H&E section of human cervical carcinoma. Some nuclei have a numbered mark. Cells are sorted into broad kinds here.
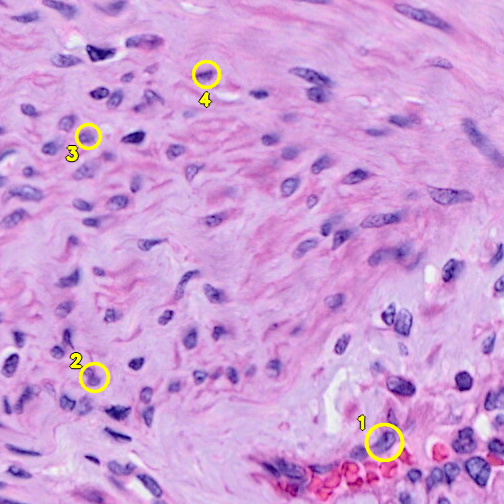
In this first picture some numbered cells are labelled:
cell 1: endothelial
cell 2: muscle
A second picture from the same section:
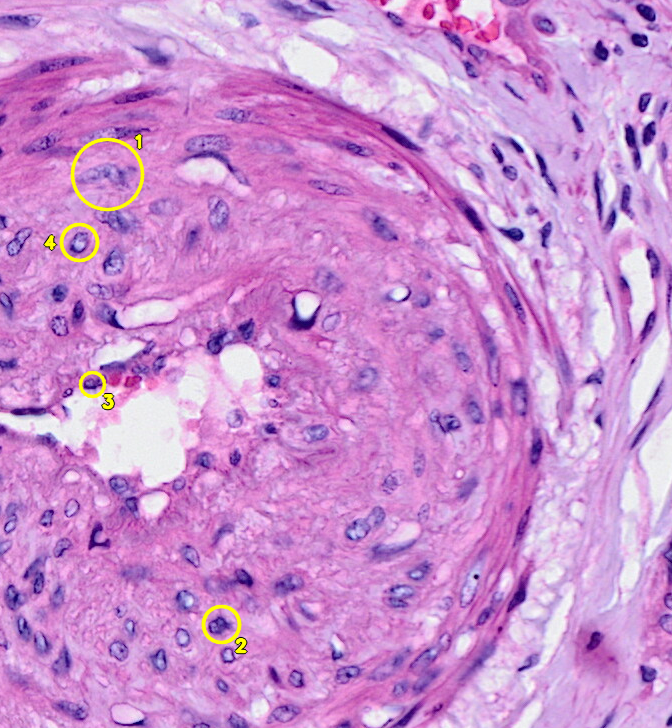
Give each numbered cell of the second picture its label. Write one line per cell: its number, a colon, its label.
1: muscle
2: muscle
3: endothelial
4: muscle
